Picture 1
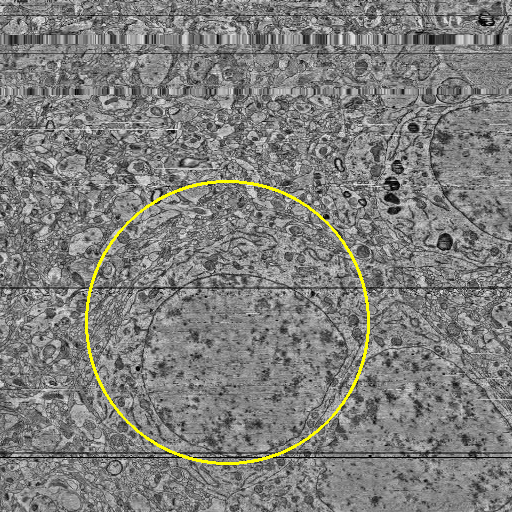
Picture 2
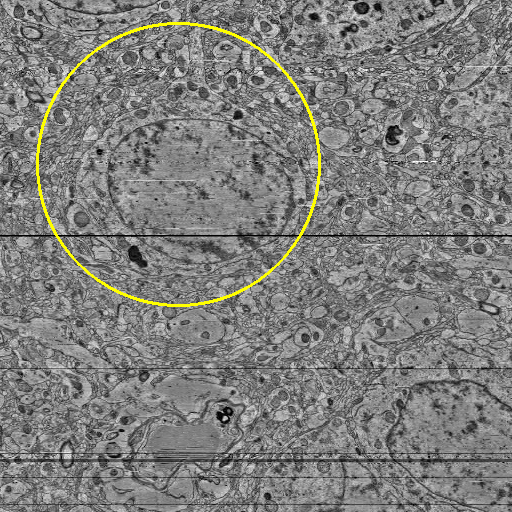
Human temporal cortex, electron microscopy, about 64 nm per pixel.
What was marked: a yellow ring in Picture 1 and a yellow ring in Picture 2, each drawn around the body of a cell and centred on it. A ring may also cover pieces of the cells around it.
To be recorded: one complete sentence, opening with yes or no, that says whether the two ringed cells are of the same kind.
Yes, the two ringed cells are of the same kind.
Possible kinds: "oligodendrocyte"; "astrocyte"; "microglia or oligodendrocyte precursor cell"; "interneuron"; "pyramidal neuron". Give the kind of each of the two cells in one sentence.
Both pictures show a pyramidal neuron at the centre of the ring.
